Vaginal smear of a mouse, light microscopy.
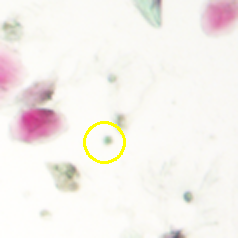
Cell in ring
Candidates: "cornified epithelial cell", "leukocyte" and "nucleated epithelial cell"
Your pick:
leukocyte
